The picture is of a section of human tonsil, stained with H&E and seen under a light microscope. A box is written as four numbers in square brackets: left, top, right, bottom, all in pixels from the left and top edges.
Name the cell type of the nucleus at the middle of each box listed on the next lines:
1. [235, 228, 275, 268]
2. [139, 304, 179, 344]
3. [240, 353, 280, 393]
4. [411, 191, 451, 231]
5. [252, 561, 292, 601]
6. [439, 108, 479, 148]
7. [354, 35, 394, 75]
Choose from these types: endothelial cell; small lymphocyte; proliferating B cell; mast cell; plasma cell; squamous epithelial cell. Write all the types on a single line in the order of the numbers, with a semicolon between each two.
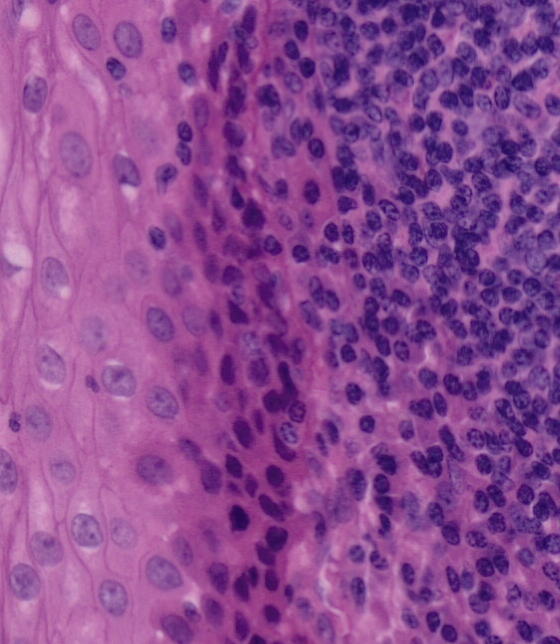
squamous epithelial cell; squamous epithelial cell; squamous epithelial cell; small lymphocyte; squamous epithelial cell; small lymphocyte; small lymphocyte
